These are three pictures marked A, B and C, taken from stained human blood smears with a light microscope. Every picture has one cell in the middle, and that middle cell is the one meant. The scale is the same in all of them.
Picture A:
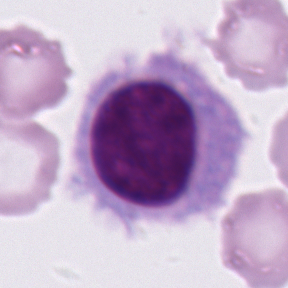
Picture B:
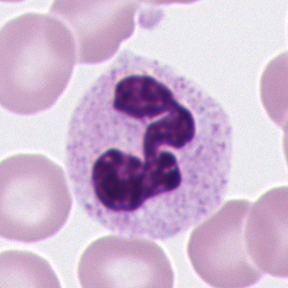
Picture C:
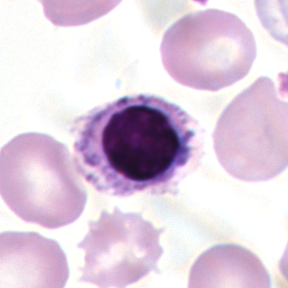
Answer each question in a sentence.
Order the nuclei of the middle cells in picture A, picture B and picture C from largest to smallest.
Largest first: A, B, C.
